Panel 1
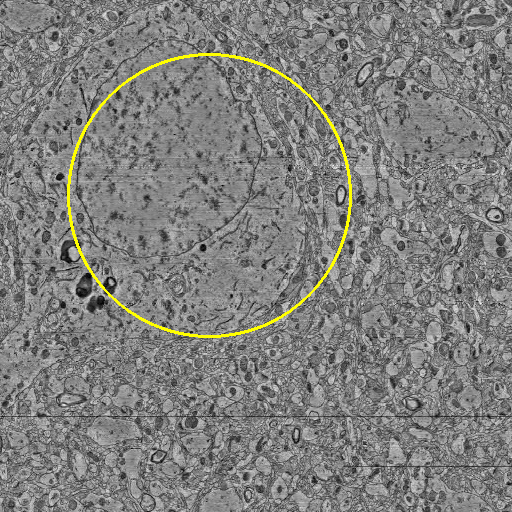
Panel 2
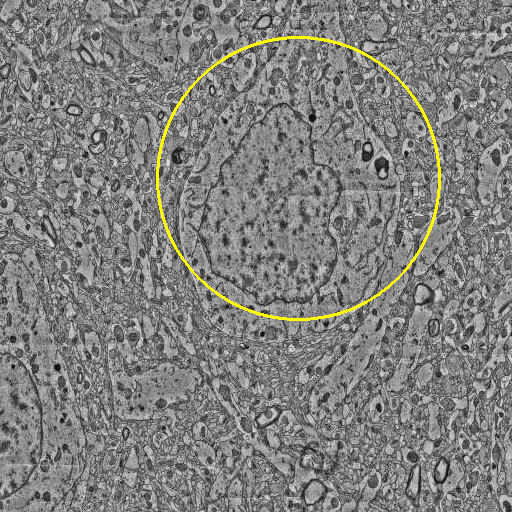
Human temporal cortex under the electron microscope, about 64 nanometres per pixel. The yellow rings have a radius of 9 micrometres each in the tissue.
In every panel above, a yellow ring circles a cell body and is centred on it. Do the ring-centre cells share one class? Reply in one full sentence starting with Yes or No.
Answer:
Yes, the two cells at the ring centres in the panels belong to one class.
